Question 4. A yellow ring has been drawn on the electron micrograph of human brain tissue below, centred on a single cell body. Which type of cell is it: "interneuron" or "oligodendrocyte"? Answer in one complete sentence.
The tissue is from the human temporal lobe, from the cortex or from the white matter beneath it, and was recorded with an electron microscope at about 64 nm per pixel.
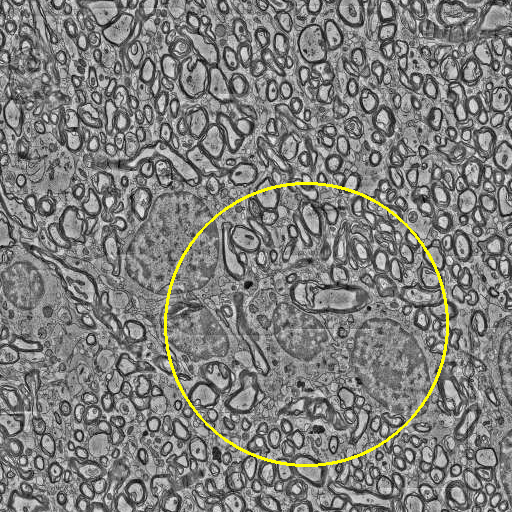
This cell body belongs to an oligodendrocyte.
